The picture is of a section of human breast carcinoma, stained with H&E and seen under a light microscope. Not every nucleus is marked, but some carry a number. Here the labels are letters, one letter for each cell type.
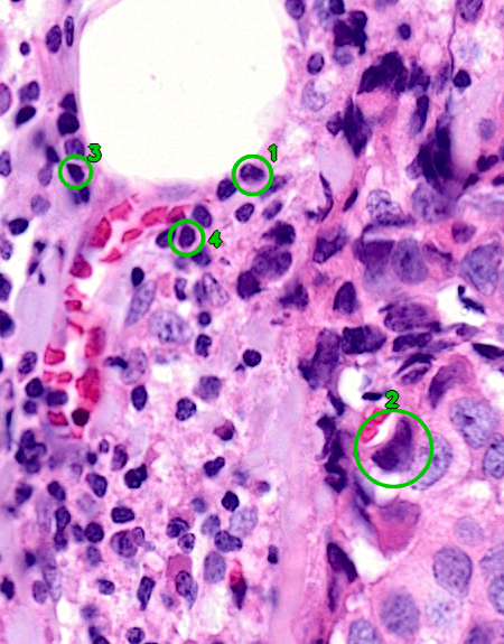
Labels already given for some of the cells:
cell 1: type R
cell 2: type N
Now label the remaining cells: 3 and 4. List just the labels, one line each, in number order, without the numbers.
type R
type R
